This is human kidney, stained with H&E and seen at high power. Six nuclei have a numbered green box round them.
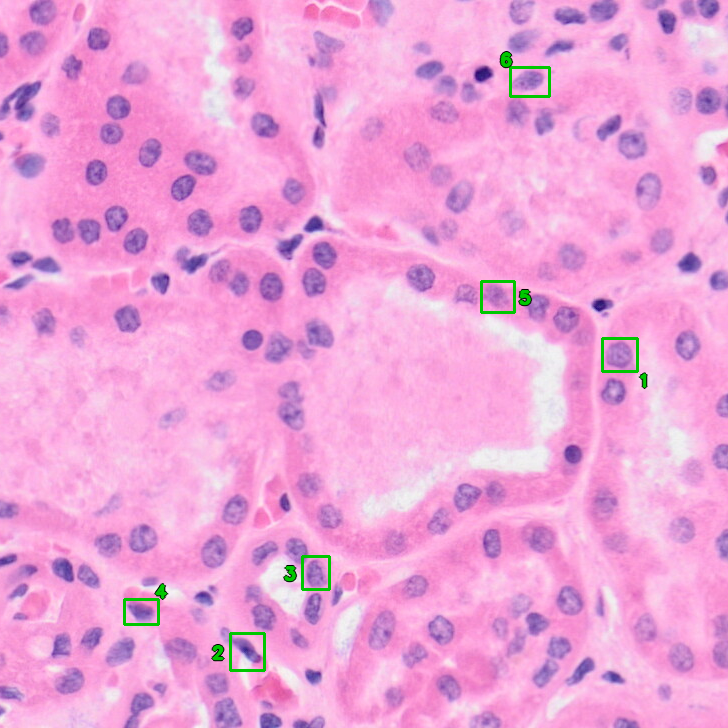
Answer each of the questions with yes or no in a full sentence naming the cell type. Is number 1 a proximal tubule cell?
Yes, to put it simply, cell number 1 is a proximal tubule cell.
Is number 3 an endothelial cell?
No, it is a collecting duct cell, rather than an endothelial cell, that carries number 3.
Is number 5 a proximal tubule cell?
Yes, the cell corresponding to number 5 is a proximal tubule cell.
